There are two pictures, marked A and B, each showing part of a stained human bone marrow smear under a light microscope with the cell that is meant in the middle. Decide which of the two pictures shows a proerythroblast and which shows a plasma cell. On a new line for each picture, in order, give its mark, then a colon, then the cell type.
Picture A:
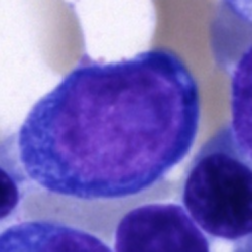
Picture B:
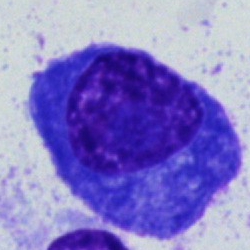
A: proerythroblast
B: plasma cell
